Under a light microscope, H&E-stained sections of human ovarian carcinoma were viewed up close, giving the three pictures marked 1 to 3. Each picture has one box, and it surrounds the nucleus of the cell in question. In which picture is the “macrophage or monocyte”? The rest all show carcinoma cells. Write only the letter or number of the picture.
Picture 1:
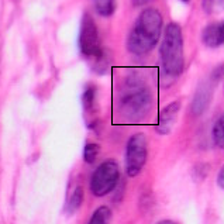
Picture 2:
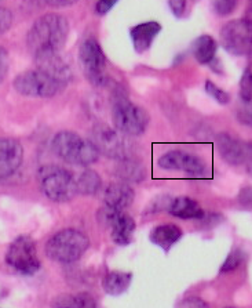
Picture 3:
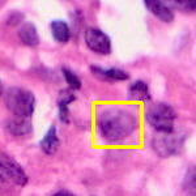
2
